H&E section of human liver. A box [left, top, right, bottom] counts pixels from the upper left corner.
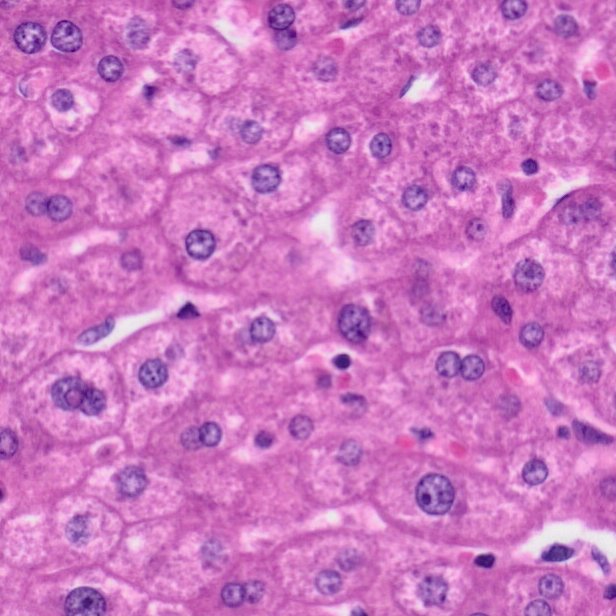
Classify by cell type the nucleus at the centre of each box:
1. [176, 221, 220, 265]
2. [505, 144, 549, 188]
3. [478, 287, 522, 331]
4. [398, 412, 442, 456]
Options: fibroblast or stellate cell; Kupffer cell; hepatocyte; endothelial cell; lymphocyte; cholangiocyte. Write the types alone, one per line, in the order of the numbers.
hepatocyte
lymphocyte
fibroblast or stellate cell
endothelial cell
